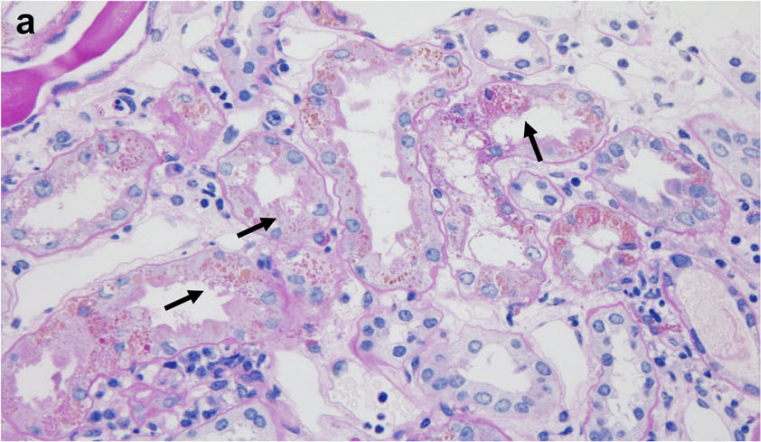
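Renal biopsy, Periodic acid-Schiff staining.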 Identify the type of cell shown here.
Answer: Proximal tubular epithelial cells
